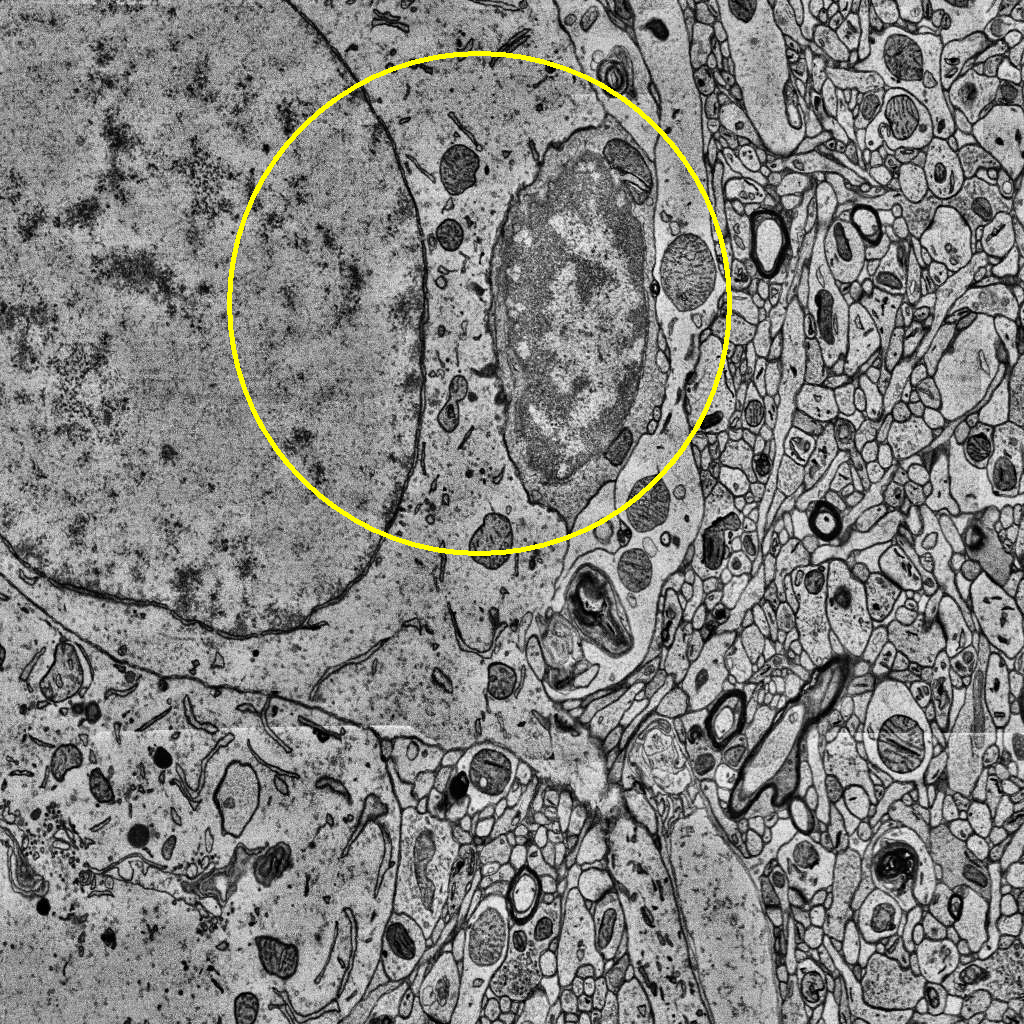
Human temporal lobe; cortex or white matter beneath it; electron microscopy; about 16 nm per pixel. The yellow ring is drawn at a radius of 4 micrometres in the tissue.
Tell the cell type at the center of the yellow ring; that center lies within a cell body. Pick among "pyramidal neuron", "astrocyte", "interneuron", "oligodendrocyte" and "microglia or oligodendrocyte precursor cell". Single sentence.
The ring's center lies in the body of an oligodendrocyte.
